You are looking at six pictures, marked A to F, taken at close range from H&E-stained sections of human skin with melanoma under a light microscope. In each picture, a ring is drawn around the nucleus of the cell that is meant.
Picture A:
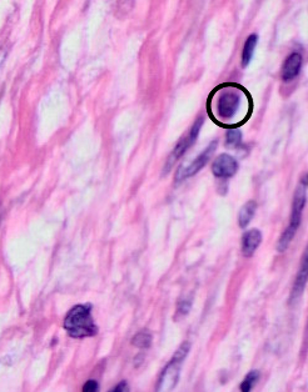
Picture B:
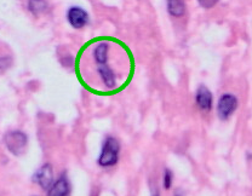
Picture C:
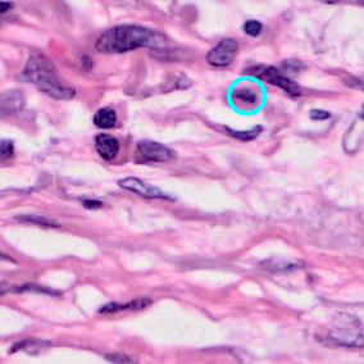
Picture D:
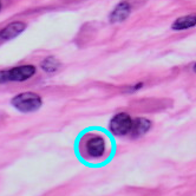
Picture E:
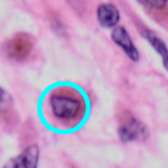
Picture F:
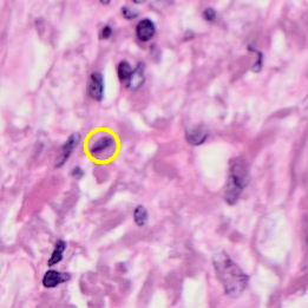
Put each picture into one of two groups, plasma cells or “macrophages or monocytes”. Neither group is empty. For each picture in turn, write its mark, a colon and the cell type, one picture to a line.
A: plasma cell
B: macrophage or monocyte
C: plasma cell
D: plasma cell
E: macrophage or monocyte
F: macrophage or monocyte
